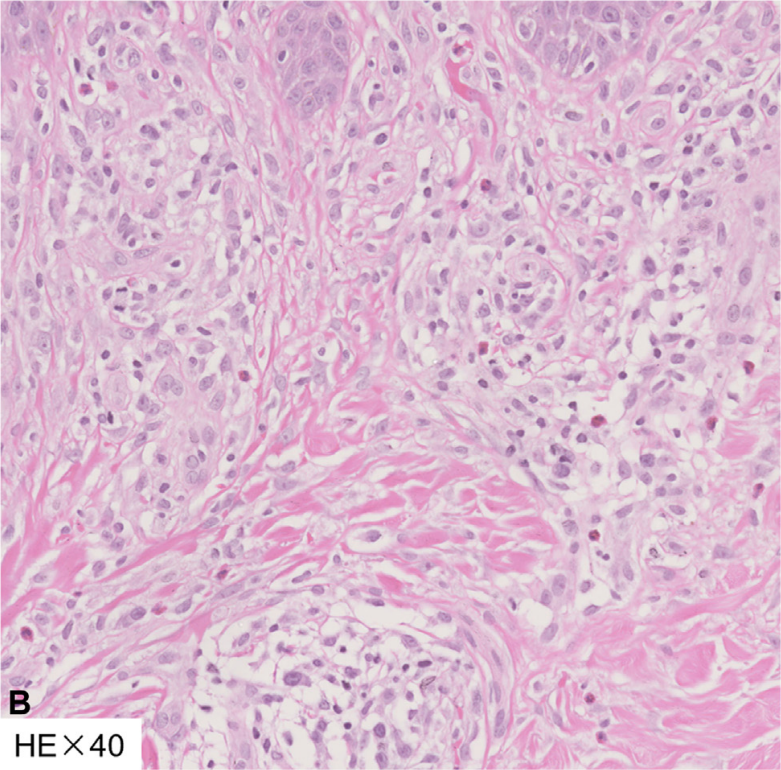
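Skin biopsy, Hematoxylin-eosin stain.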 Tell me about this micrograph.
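Dermis at higher magnification with a dense mixed inflammatory infiltrate among pink collagen bundles in loose, pale stroma. Scattered among cells with oval nuclei are eosinophils with bright red-pink granular cytoplasm.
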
